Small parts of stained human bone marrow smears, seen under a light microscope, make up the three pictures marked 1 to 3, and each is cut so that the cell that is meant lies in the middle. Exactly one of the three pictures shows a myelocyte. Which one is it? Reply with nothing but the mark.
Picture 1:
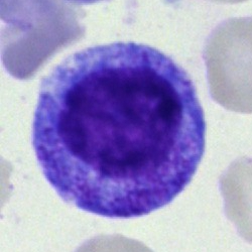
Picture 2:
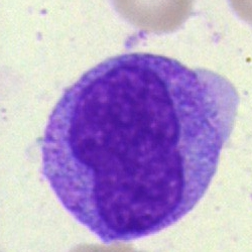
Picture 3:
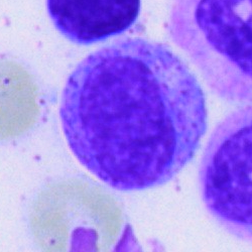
3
